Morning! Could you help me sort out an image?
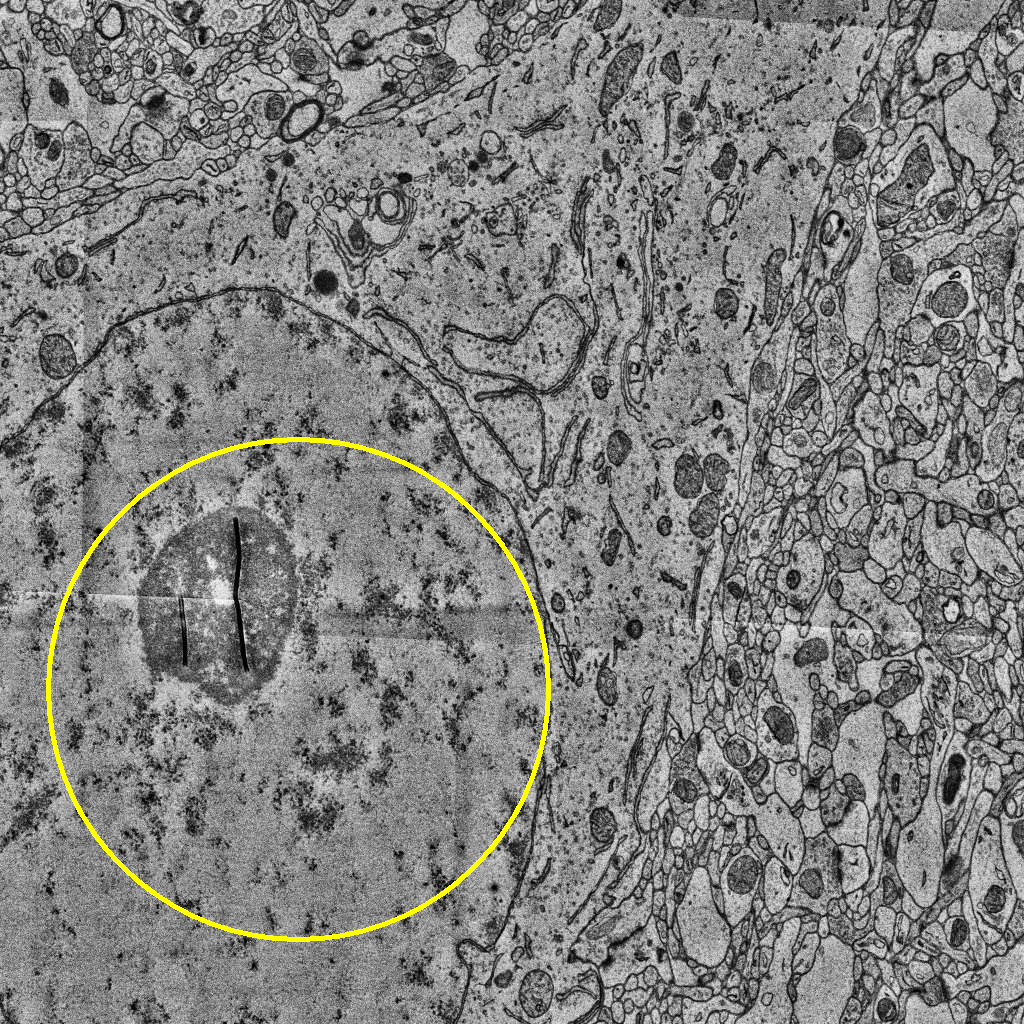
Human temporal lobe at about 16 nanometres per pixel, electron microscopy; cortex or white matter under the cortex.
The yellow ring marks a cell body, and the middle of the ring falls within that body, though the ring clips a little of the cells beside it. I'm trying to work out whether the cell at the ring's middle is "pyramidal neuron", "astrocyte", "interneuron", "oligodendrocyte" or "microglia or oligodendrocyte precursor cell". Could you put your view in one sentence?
The cell body at the ring's middle is that of a pyramidal neuron.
